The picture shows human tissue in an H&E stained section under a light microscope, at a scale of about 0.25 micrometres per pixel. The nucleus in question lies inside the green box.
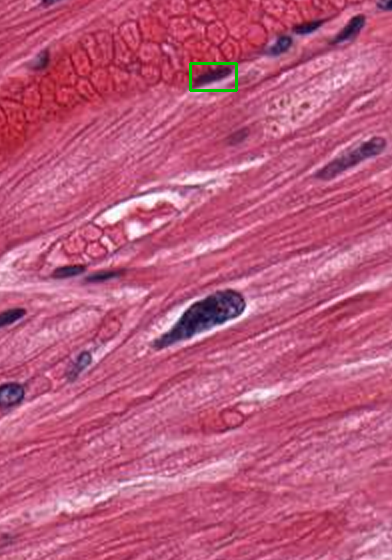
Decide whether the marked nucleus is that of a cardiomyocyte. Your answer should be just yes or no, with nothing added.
no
